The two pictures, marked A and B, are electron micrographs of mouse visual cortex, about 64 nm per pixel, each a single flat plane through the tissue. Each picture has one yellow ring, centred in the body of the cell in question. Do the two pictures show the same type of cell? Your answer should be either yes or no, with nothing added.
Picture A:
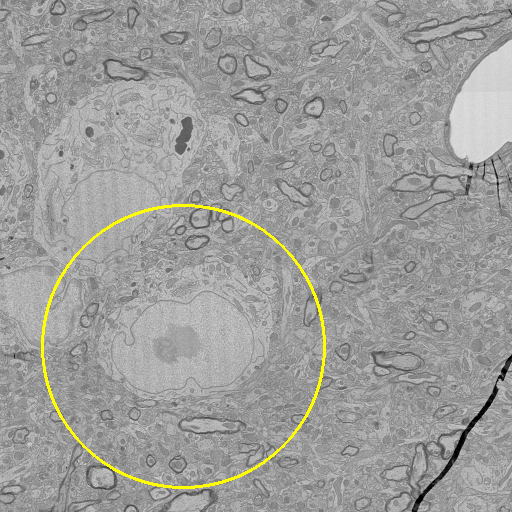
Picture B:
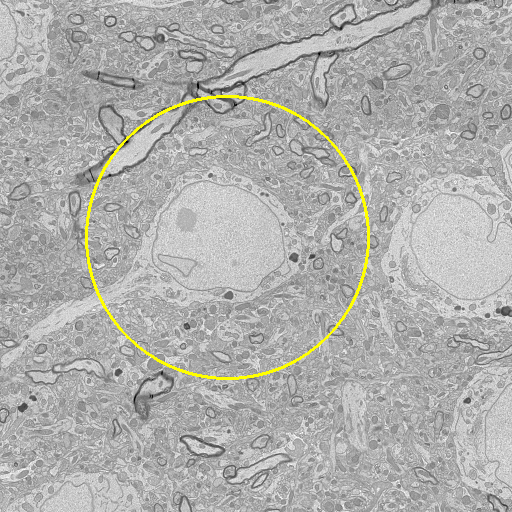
yes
